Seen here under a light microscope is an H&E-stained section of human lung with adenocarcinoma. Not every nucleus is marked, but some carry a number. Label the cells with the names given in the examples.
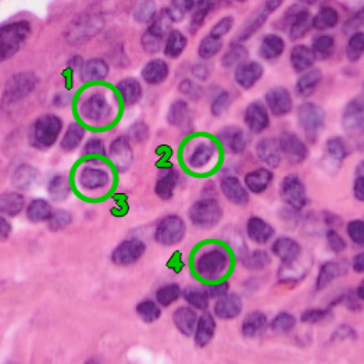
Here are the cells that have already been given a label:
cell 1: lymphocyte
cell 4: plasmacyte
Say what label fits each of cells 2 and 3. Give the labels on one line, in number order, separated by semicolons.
lymphocyte; lymphocyte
